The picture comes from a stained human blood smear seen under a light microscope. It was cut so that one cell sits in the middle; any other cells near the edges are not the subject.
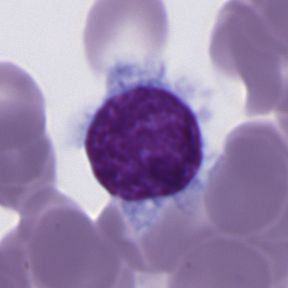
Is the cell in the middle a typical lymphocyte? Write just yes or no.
no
